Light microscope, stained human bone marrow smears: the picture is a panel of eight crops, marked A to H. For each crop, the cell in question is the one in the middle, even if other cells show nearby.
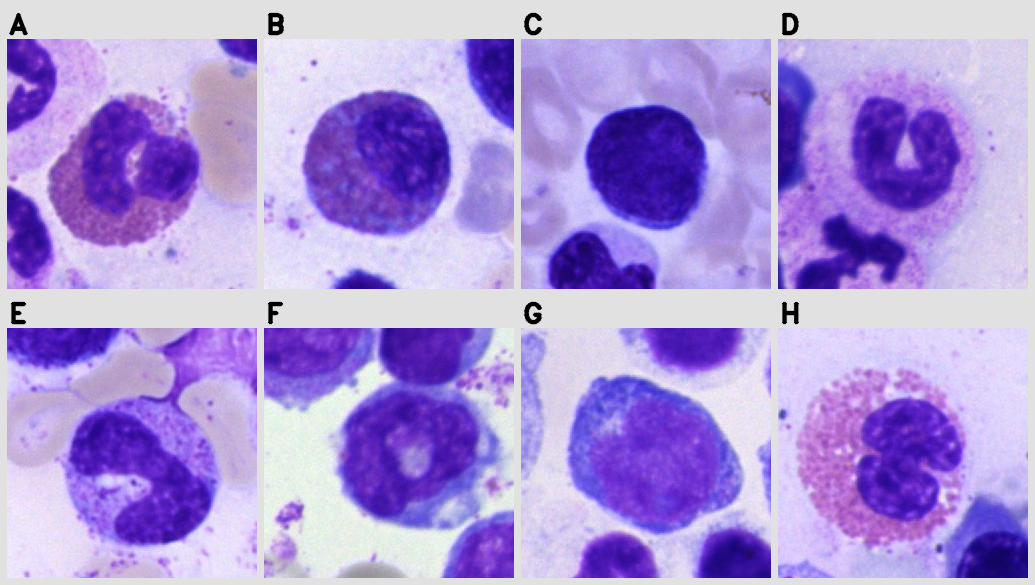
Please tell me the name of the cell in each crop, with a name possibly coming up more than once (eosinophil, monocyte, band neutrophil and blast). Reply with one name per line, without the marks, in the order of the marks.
eosinophil
eosinophil
blast
band neutrophil
band neutrophil
monocyte
blast
eosinophil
